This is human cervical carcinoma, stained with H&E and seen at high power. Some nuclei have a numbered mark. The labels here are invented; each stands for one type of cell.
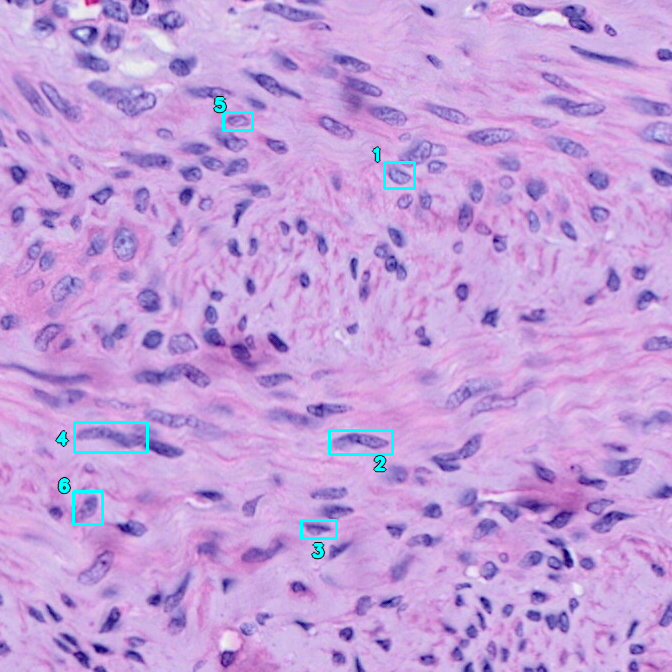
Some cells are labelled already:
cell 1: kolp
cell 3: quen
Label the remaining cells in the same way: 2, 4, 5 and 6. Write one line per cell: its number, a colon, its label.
2: quen
4: quen
5: kolp
6: kolp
